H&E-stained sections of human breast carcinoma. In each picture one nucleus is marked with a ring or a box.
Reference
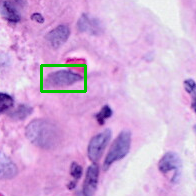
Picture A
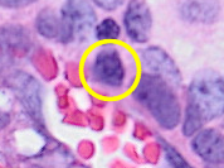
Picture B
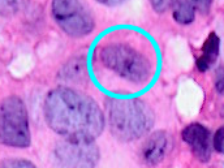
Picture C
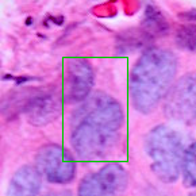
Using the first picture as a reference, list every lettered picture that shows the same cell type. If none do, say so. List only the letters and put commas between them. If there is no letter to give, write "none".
none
